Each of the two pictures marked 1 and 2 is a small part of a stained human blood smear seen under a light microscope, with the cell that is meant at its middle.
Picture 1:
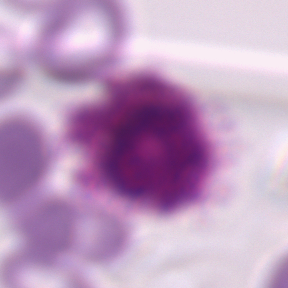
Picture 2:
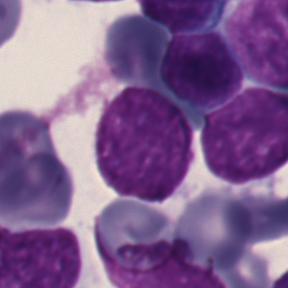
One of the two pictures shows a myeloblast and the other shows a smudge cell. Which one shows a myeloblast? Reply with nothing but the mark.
2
